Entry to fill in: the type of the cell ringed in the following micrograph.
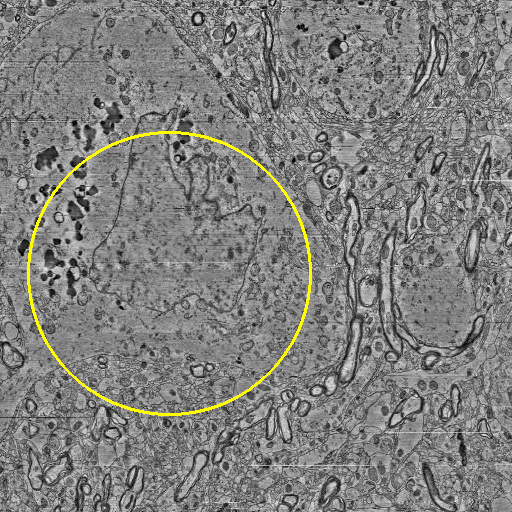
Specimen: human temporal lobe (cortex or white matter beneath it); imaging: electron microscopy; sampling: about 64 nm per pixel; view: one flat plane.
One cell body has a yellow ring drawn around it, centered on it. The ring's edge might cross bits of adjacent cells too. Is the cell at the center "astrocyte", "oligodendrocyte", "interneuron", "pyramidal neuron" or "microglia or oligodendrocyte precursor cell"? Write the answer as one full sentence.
This entry names a pyramidal neuron as the cell whose body lies at the ring's center.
